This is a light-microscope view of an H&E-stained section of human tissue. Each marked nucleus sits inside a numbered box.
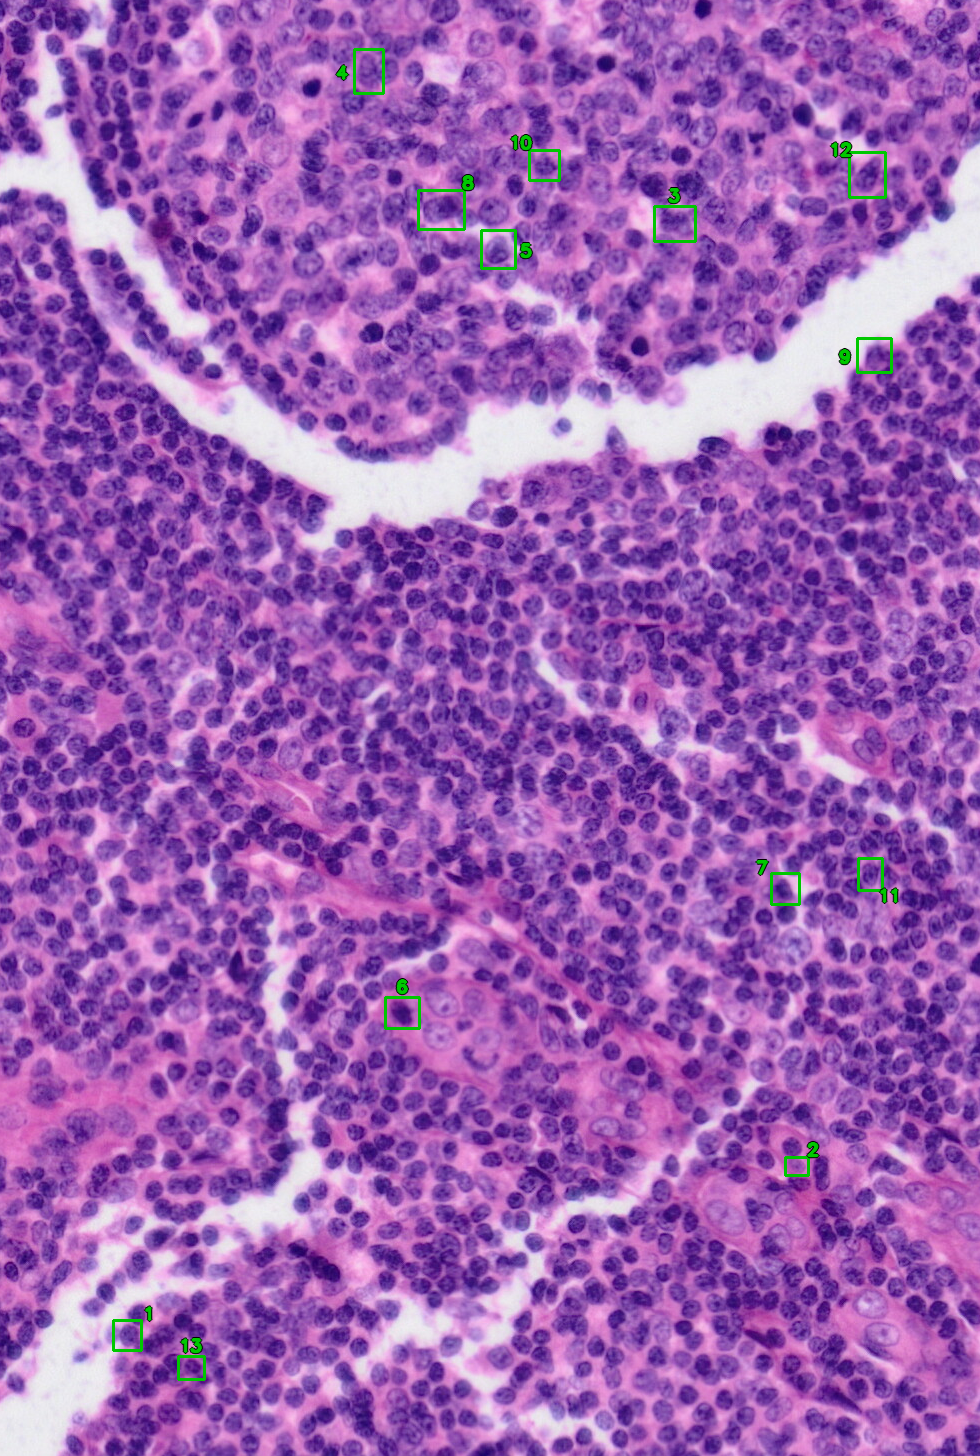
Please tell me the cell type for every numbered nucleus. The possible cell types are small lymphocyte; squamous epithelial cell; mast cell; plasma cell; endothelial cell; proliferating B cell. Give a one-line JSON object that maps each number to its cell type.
{"1": "small lymphocyte", "2": "endothelial cell", "3": "proliferating B cell", "4": "proliferating B cell", "5": "proliferating B cell", "6": "endothelial cell", "7": "small lymphocyte", "8": "proliferating B cell", "9": "proliferating B cell", "10": "proliferating B cell", "11": "small lymphocyte", "12": "proliferating B cell", "13": "small lymphocyte"}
